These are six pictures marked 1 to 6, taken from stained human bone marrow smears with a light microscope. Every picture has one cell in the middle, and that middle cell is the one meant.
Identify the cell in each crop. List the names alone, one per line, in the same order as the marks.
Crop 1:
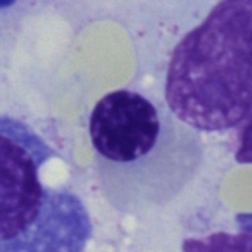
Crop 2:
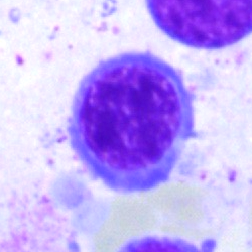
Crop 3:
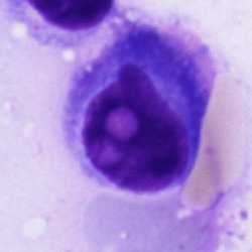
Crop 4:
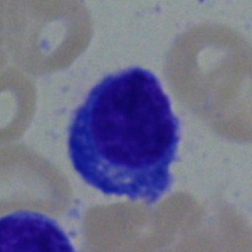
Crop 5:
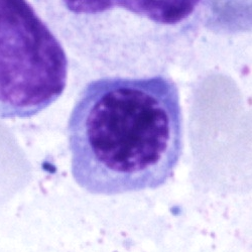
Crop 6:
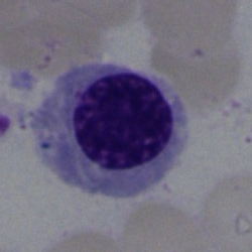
erythroblast
erythroblast
plasma cell
plasma cell
erythroblast
erythroblast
